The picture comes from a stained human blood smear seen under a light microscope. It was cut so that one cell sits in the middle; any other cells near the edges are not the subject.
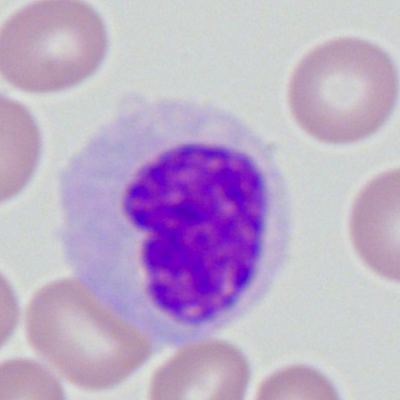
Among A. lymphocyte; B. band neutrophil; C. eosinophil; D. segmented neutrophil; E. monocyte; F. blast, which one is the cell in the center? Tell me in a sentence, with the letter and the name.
The central cell in this crop is a monocyte, so the correct choice is option E.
